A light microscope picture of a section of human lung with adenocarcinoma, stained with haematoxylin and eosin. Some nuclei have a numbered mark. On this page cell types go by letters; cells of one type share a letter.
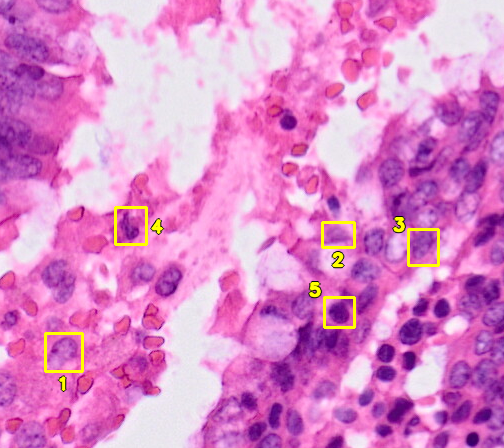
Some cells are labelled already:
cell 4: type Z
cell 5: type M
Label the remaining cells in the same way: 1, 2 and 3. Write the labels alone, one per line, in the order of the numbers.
type Z
type M
type M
